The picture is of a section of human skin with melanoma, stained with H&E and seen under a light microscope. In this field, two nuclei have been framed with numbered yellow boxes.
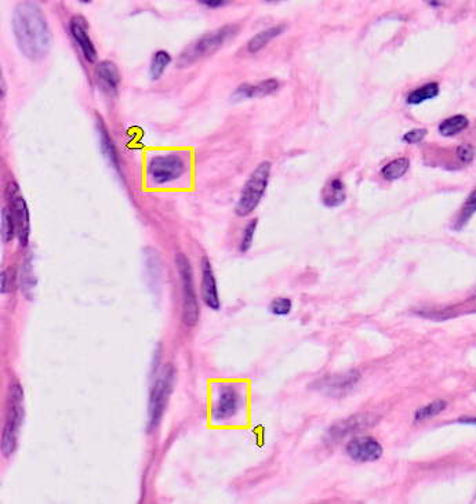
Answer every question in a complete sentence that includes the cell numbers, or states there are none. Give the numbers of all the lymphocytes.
Only cell 2 is a lymphocyte; none of the other numbered cells is.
